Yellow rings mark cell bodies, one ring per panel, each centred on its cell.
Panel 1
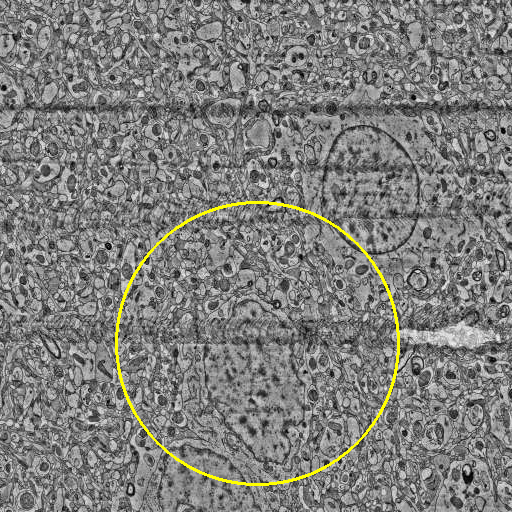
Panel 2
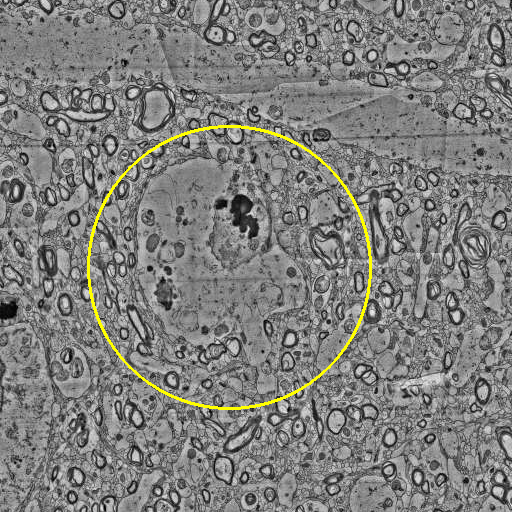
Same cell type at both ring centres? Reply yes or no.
no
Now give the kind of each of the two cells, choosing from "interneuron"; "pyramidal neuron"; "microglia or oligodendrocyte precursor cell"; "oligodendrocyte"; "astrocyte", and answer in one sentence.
The cell in the first picture is an interneuron, and the cell in the second is an oligodendrocyte.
